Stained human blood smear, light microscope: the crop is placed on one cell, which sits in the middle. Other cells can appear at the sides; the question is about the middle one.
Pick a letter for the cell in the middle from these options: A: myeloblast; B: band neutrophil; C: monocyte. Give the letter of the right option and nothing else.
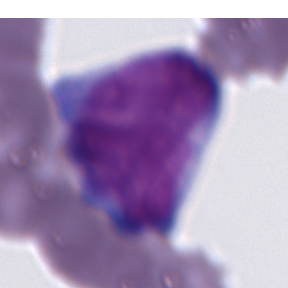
A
